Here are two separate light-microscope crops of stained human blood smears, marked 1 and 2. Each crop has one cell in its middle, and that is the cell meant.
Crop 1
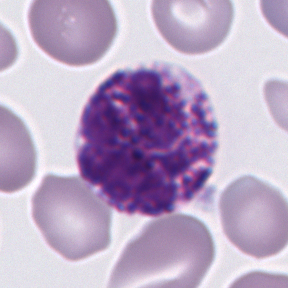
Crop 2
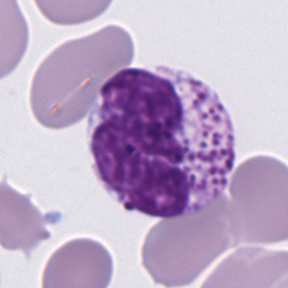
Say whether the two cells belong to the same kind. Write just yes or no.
yes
